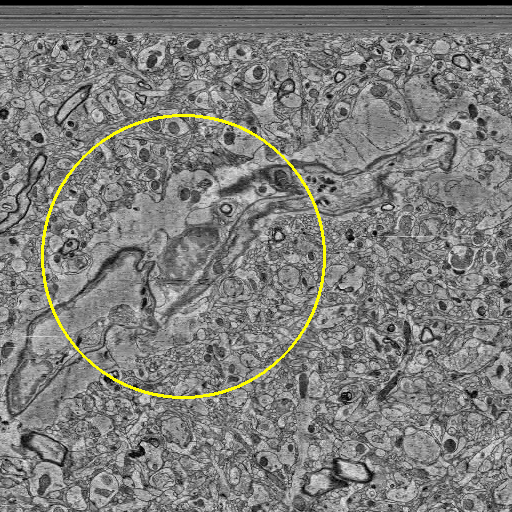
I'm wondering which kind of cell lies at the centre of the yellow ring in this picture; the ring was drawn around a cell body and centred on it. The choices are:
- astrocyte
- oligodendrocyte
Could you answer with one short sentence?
At the centre of the ring lies an oligodendrocyte.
